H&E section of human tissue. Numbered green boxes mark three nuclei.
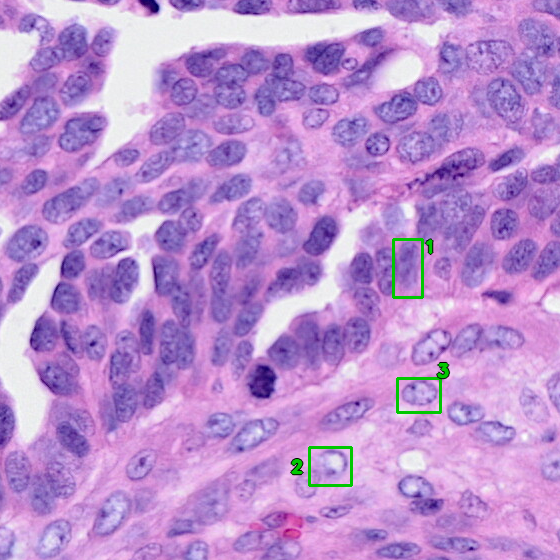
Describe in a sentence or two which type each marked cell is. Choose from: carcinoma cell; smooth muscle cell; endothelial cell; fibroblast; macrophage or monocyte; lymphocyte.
Cell 1 is a carcinoma cell, cell 2 is a fibroblast and cell 3 is a fibroblast.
